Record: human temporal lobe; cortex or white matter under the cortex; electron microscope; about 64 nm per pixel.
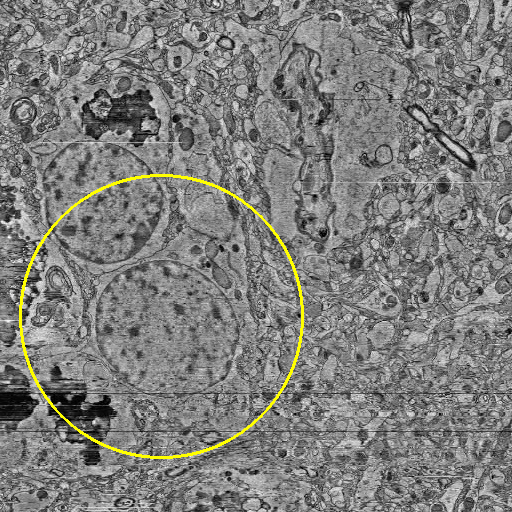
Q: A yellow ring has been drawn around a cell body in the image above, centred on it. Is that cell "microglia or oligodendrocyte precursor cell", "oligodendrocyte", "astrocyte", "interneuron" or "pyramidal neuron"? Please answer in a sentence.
The ring surrounds the cell body of an astrocyte.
